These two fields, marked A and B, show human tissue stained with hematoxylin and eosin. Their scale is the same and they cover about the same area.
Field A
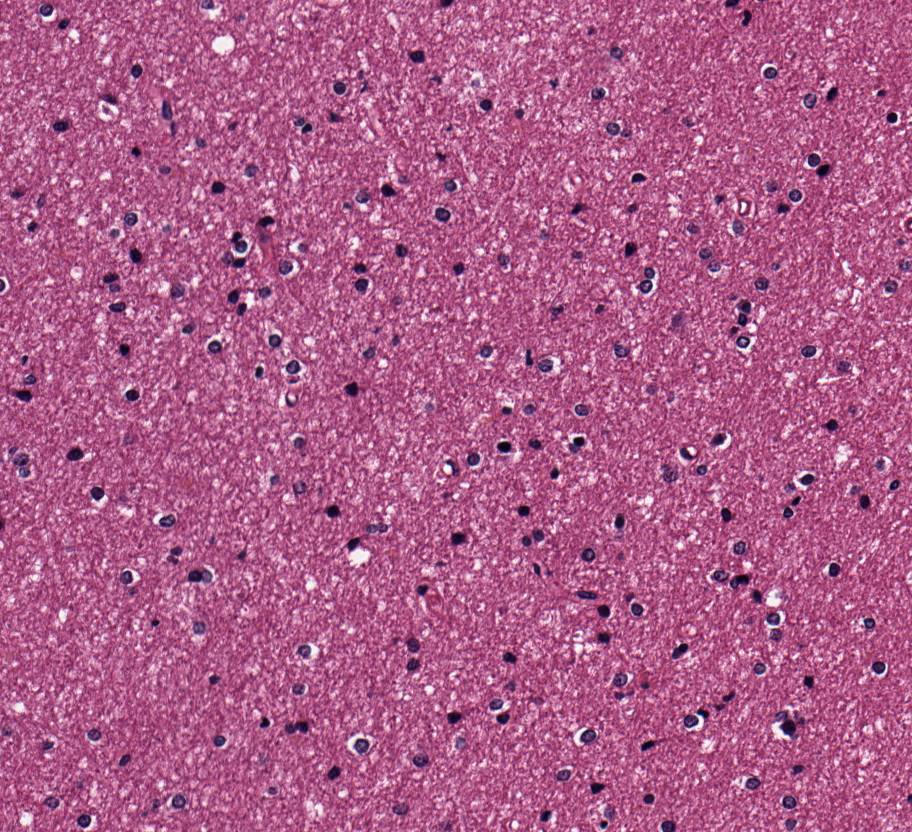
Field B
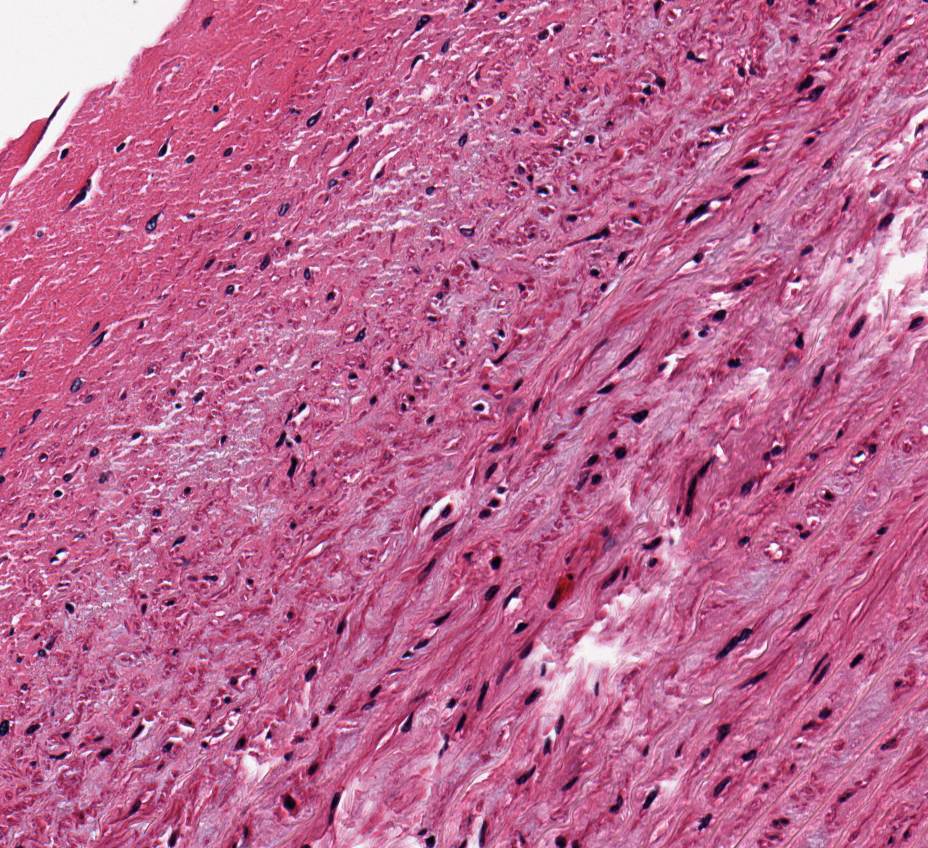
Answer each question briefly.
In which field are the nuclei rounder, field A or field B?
A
